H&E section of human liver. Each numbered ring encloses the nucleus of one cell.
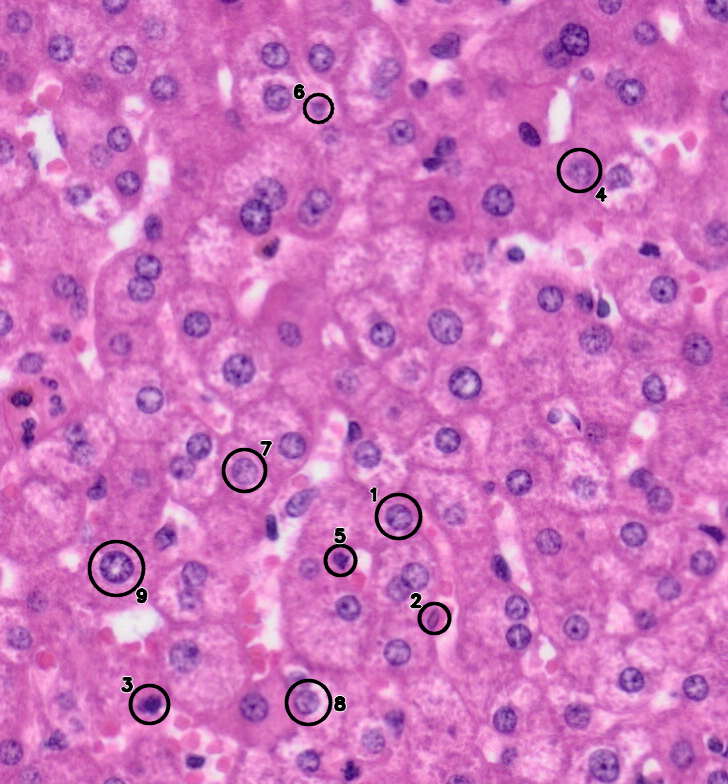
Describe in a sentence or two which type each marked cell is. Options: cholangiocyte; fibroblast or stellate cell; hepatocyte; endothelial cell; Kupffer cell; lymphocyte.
Cell 1 is a hepatocyte, cell 2 is a Kupffer cell, cell 3 is a fibroblast or stellate cell, cell 4 is a hepatocyte, cell 5 is a fibroblast or stellate cell, cell 6 is a Kupffer cell, cell 7 is a hepatocyte, cell 8 is a hepatocyte and cell 9 is a hepatocyte.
